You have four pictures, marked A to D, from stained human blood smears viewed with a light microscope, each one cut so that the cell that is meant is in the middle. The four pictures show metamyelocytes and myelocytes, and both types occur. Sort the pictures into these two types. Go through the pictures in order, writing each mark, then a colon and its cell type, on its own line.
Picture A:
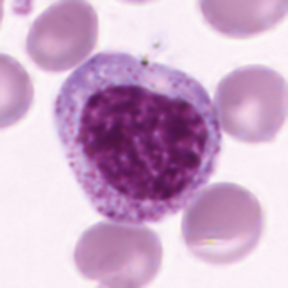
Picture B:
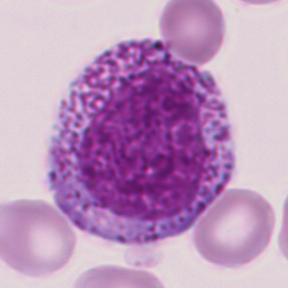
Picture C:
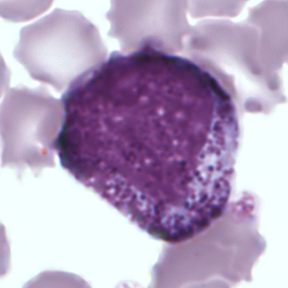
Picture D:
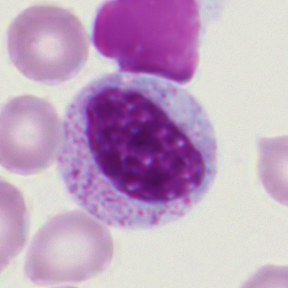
A: myelocyte
B: myelocyte
C: myelocyte
D: metamyelocyte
